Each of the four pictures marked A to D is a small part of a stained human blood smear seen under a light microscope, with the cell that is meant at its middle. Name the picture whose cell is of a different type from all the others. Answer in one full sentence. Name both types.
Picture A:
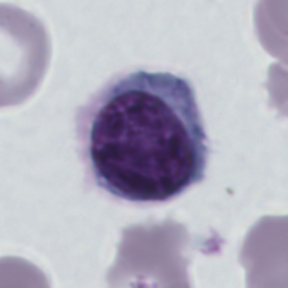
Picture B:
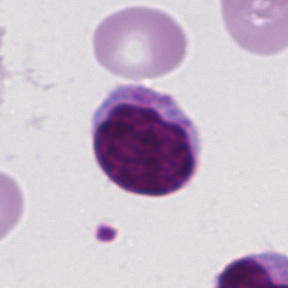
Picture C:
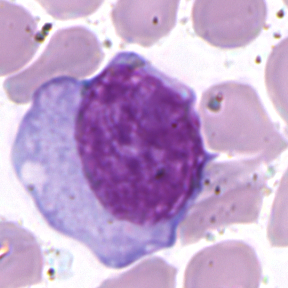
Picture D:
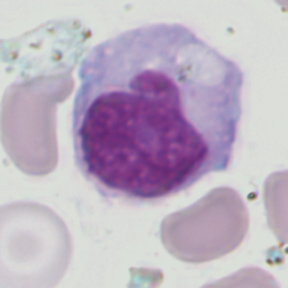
The different one is picture B; it shows a typical lymphocyte, whereas all the others show plasma cells.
